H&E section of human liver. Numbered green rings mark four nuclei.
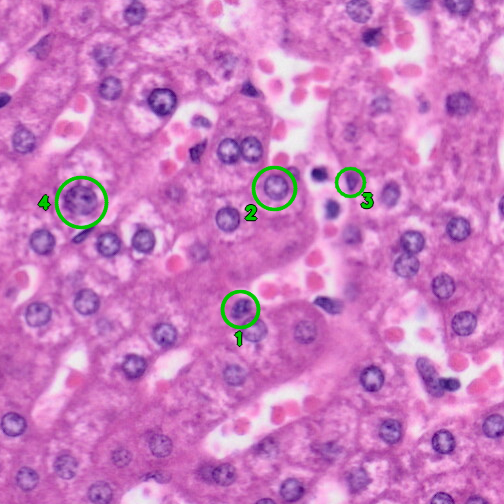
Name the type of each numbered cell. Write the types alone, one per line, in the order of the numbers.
fibroblast or stellate cell
hepatocyte
fibroblast or stellate cell
hepatocyte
